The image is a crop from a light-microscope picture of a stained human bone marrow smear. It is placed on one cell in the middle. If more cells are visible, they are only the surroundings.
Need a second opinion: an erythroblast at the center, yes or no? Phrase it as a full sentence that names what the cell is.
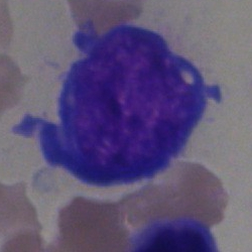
No, the label for the central cell is a blast, not an erythroblast.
